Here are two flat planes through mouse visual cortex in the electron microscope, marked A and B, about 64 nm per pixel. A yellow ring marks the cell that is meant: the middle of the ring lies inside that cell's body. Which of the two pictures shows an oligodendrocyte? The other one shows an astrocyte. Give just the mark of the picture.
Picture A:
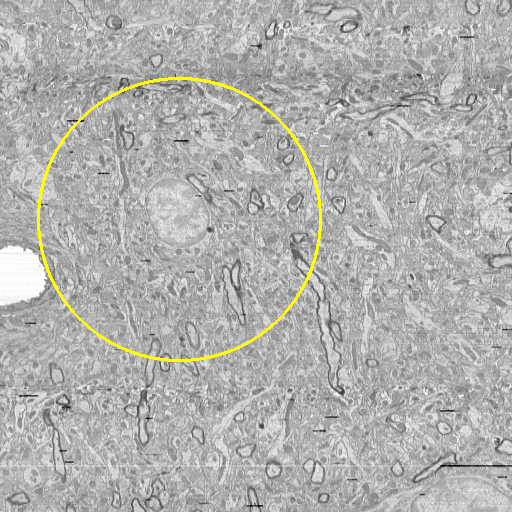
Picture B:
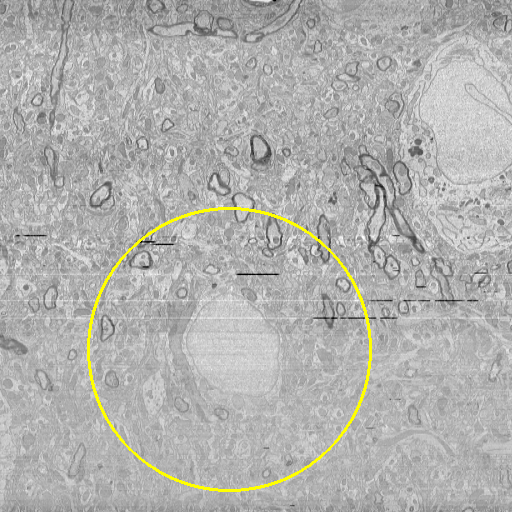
A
